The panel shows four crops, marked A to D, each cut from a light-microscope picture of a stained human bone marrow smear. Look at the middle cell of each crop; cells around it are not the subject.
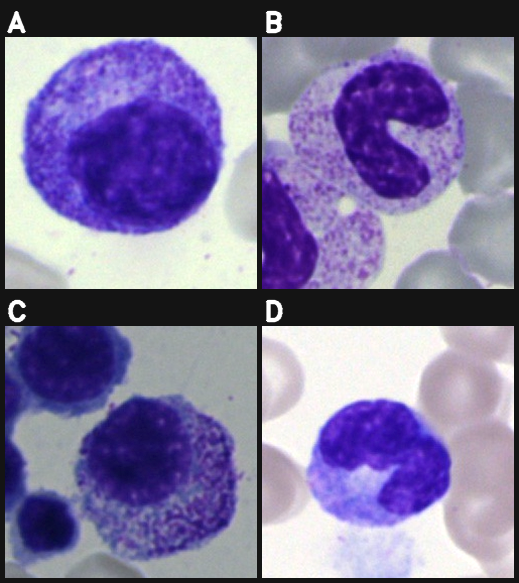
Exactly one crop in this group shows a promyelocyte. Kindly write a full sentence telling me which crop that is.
The crop marked A is the one in which a promyelocyte is shown.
